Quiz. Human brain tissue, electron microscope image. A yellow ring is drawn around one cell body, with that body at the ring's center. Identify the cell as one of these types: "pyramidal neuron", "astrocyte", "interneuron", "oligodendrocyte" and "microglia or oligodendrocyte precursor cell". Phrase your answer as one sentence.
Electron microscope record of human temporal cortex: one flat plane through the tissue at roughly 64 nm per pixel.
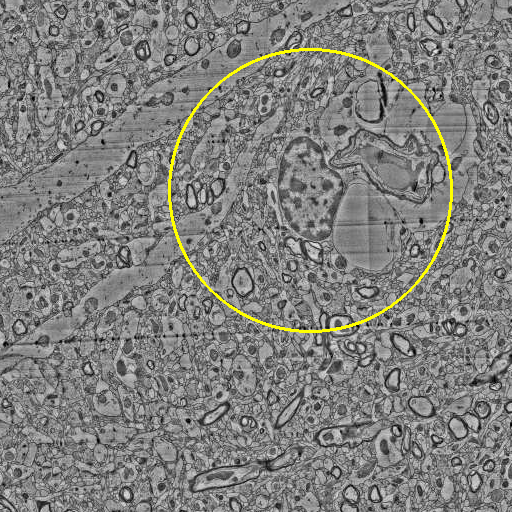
At the center of the ring sits a microglial cell or oligodendrocyte precursor cell.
